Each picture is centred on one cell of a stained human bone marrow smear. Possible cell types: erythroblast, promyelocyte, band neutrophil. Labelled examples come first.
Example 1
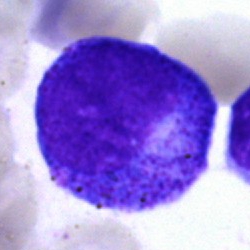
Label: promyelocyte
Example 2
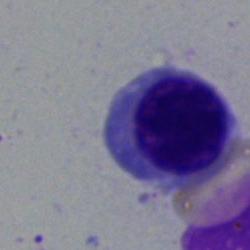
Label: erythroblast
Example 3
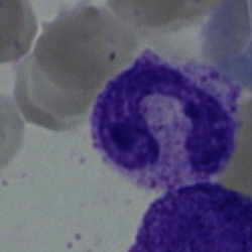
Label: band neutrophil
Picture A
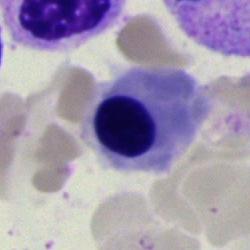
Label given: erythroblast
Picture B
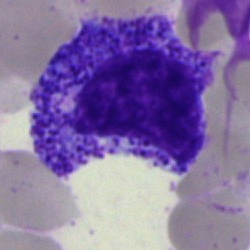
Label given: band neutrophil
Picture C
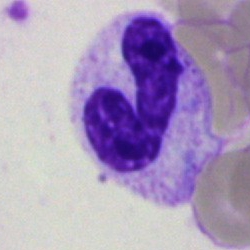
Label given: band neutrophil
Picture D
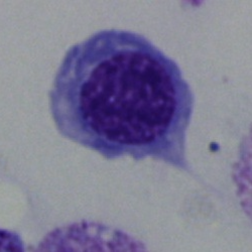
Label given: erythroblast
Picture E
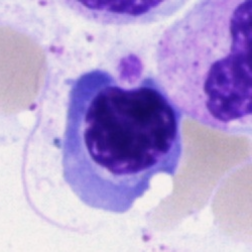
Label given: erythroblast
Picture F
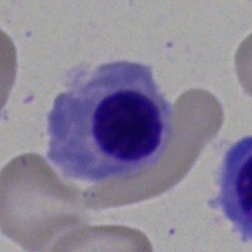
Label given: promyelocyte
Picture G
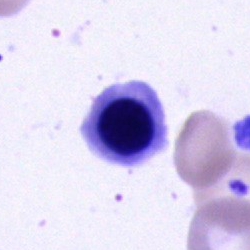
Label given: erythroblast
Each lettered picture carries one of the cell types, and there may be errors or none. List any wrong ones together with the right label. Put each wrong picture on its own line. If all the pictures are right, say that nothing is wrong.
B: promyelocyte, not band neutrophil
F: erythroblast, not promyelocyte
